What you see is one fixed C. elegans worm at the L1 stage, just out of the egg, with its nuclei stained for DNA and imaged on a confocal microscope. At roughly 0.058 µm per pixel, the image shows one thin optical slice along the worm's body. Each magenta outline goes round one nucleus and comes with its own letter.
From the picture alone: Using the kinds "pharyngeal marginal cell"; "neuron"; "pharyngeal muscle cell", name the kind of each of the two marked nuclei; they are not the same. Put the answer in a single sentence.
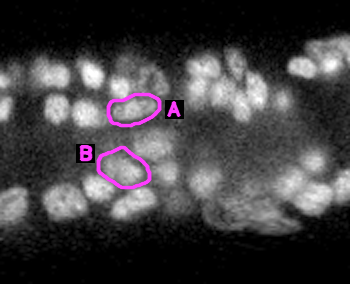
A is from a pharyngeal marginal cell, and B is from a pharyngeal muscle cell.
